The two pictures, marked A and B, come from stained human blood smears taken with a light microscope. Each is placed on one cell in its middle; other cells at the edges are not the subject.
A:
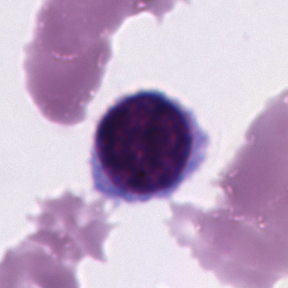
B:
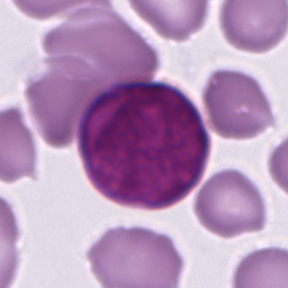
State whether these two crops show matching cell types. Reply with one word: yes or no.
no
